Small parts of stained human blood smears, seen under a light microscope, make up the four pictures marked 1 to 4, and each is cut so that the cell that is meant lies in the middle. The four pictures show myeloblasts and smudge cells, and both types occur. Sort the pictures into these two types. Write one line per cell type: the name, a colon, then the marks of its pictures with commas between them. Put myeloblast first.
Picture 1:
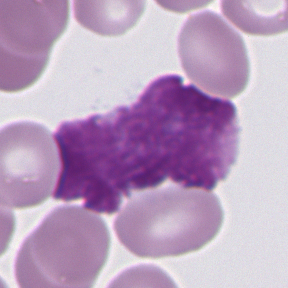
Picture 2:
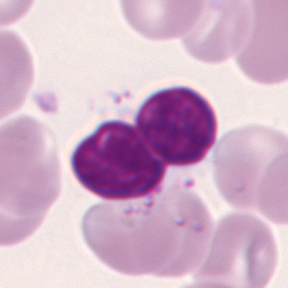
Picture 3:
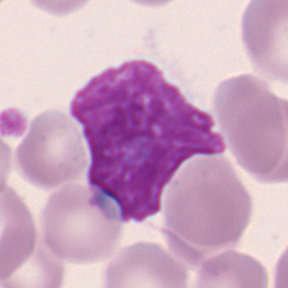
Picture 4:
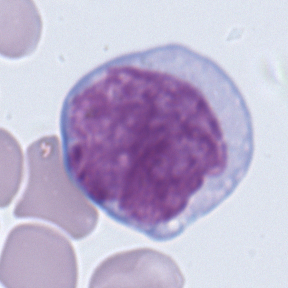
myeloblast: 4
smudge cell: 1, 2, 3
